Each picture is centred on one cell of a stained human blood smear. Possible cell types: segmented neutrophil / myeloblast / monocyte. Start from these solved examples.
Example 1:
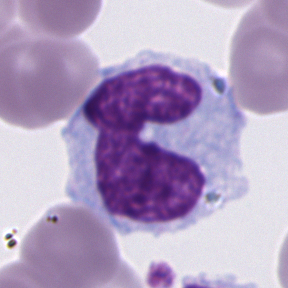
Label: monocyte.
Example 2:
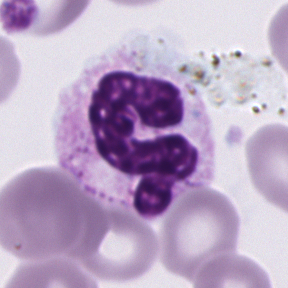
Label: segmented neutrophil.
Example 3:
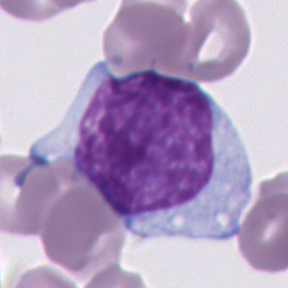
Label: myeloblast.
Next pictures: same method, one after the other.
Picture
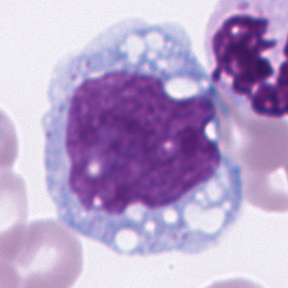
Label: monocyte.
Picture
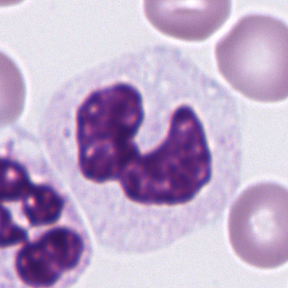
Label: segmented neutrophil.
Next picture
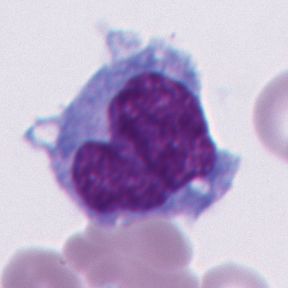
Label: monocyte.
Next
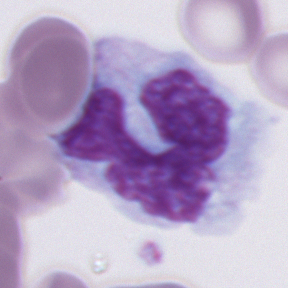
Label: monocyte.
